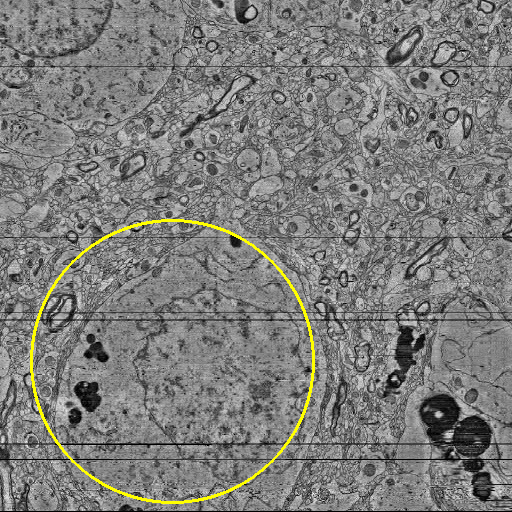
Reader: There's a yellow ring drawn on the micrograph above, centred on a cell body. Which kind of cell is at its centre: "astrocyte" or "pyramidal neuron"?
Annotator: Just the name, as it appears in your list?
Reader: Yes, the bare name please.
pyramidal neuron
